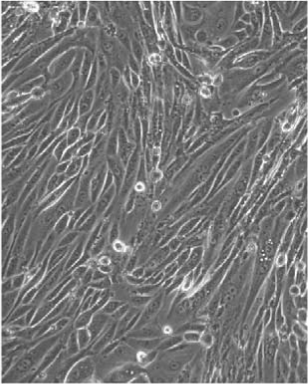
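Confluent culture of epithelial cells seen in phase contrast, most of them elongated and spindle-shaped. The cells lie tightly packed side by side and are aligned in parallel streams running in roughly the same direction across the field. Cell borders appear as fine bright lines between the long, tapering cell bodies. Scattered among them are a few small, rounded, bright refractile cells sitting on top of the layer.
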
